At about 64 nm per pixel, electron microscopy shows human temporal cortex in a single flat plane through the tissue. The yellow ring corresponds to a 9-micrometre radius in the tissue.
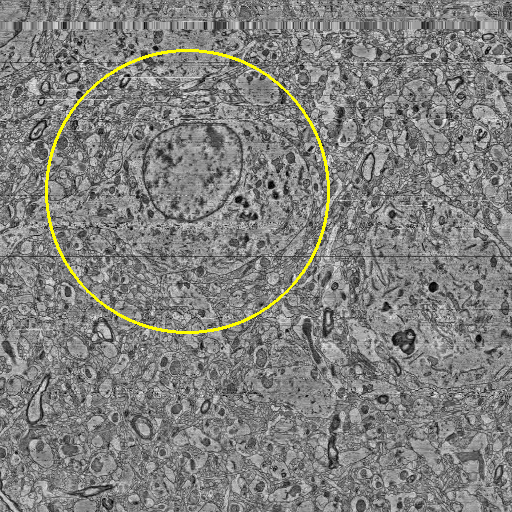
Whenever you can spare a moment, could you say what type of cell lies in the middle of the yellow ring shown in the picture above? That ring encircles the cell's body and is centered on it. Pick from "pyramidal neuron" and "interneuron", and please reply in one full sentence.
The cell whose body sits at the middle of the yellow ring is a pyramidal neuron.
